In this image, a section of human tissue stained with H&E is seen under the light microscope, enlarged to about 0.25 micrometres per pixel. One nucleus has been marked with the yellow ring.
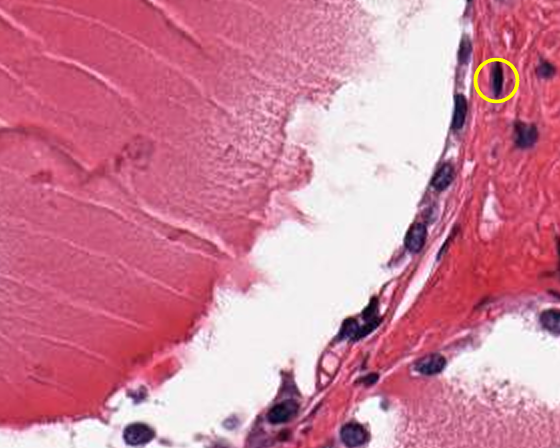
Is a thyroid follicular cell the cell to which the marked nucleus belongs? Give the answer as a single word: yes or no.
no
